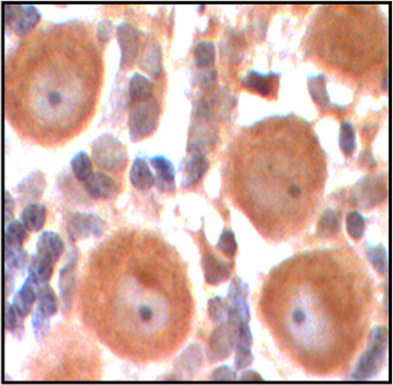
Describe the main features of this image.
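Large round neurons with brown-stained cytoplasm fill much of the field. Between the neurons lie many small cells with dark blue nuclei and little cytoplasm, some in rows. The brown stain is strongest in the cytoplasm, with the nuclei lighter.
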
